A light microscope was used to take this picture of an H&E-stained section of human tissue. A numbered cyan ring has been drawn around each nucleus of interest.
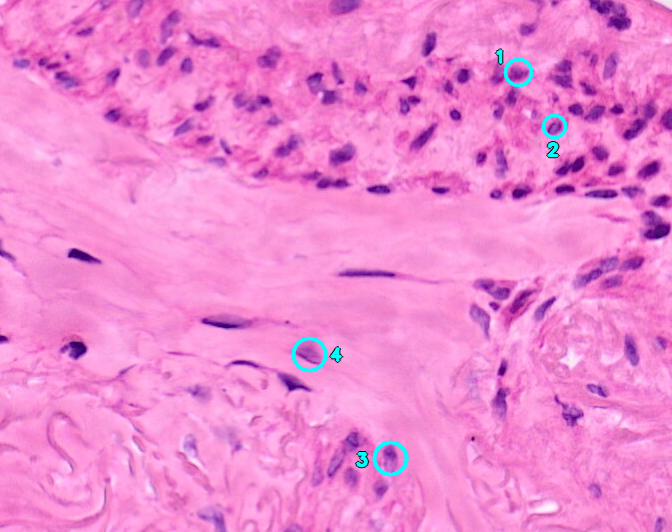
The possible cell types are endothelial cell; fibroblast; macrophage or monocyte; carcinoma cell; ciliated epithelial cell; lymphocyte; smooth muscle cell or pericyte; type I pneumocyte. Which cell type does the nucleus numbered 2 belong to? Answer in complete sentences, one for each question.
The cell whose nucleus carries the number 2 is a smooth muscle cell or pericyte.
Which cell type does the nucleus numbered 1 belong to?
The expected answer is that cell 1 is a smooth muscle cell or pericyte.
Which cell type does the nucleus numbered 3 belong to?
The cell that carries the label 3 is a smooth muscle cell or pericyte.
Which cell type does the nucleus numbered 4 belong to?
The cell indicated with the number 4 is classed as a fibroblast.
